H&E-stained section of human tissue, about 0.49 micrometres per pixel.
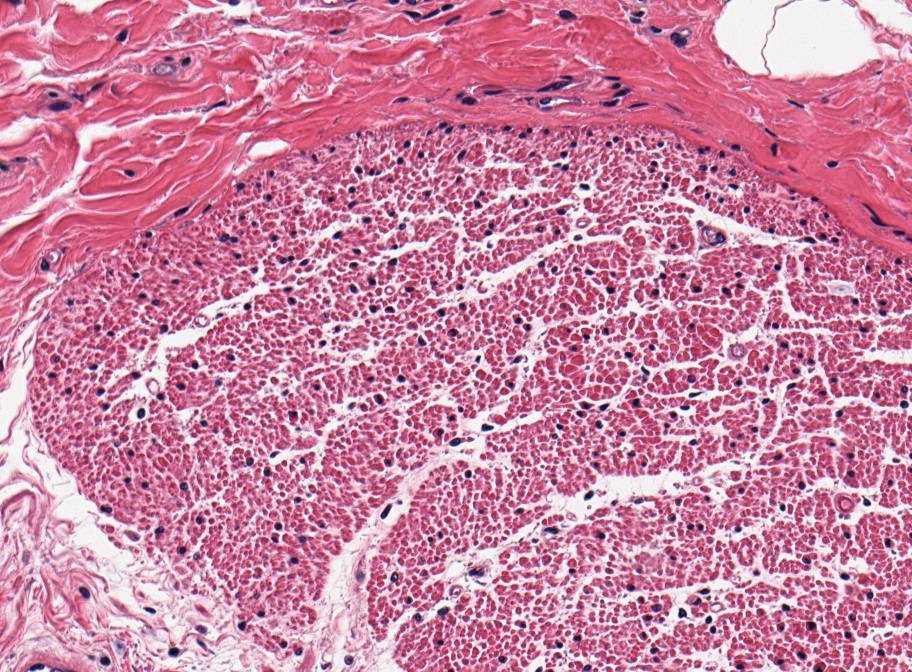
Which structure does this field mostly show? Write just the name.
smooth muscle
